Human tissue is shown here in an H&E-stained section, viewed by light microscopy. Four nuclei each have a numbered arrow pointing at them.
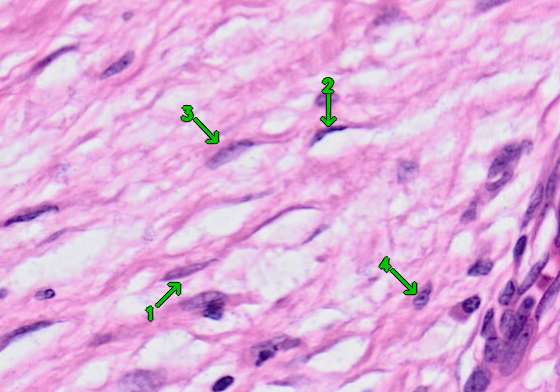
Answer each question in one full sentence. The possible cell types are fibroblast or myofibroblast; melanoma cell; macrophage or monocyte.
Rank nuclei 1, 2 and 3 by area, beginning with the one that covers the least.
The order from the smallest nucleus to the largest is 2, 1, 3.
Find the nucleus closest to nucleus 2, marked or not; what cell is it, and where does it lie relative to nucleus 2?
A macrophage or monocyte lies closest, above nucleus 2.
